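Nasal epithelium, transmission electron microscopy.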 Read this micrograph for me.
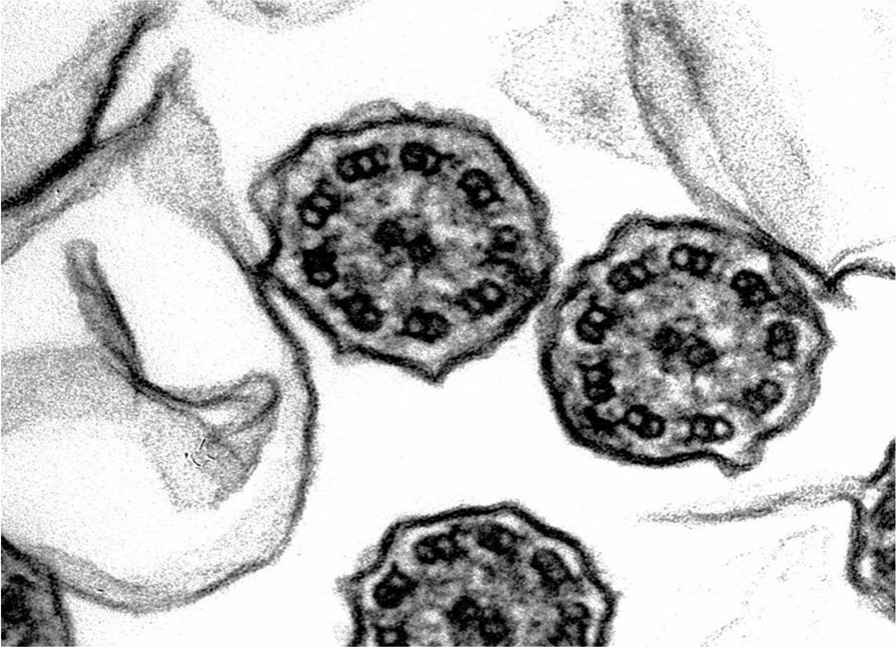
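Just inside that membrane sits a ring of paired microtubules, each pair looking like two small linked circles, with about nine pairs in the ring. In the centre of each profile lies a further pair of microtubules, so the whole core shows the typical ring-and-centre pattern of a ciliary axoneme.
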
